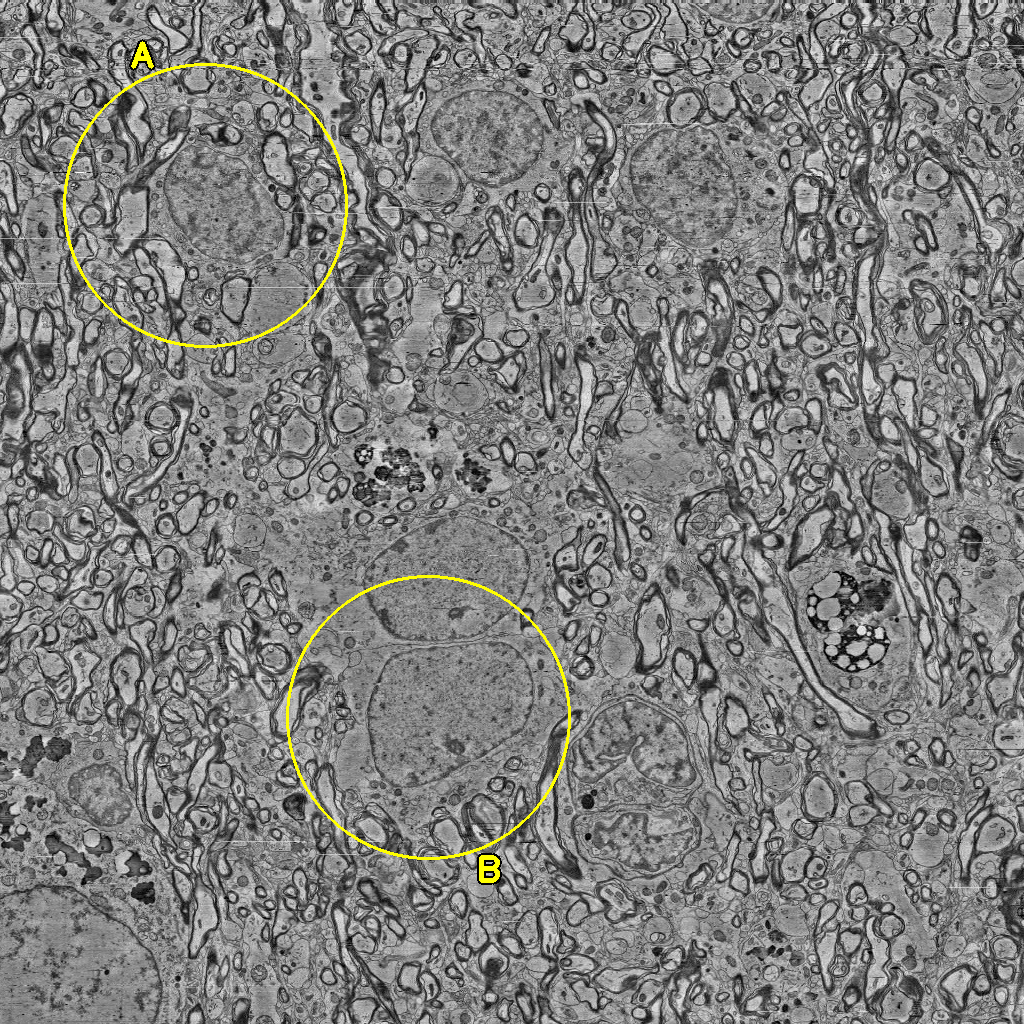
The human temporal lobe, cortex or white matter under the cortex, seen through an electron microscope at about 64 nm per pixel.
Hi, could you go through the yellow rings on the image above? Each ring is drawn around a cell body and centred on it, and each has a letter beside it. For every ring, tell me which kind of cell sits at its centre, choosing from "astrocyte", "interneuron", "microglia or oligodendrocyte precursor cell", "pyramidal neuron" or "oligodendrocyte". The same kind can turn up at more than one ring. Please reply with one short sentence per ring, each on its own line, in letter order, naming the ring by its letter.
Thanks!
Ring A is centred on an oligodendrocyte.
Ring B is centred on an astrocyte.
